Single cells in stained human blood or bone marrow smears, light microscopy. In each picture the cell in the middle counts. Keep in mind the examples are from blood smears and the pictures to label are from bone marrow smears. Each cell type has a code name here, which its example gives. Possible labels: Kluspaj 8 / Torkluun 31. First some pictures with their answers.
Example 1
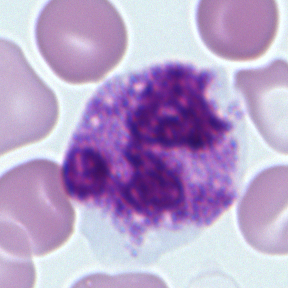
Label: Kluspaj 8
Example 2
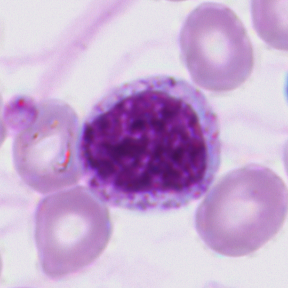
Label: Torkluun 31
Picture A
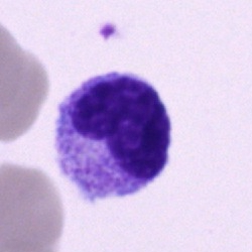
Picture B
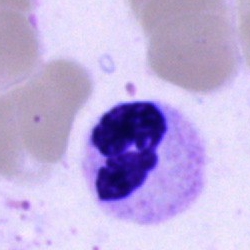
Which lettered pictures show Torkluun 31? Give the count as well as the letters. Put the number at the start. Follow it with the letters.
1, namely A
